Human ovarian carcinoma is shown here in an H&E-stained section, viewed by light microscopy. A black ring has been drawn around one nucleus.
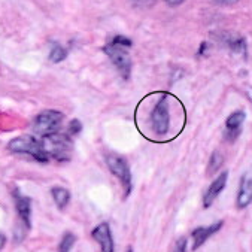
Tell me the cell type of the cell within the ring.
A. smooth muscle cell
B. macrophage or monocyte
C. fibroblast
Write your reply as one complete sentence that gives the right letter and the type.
In this item, the cell within the ring is a fibroblast, and option C is right.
